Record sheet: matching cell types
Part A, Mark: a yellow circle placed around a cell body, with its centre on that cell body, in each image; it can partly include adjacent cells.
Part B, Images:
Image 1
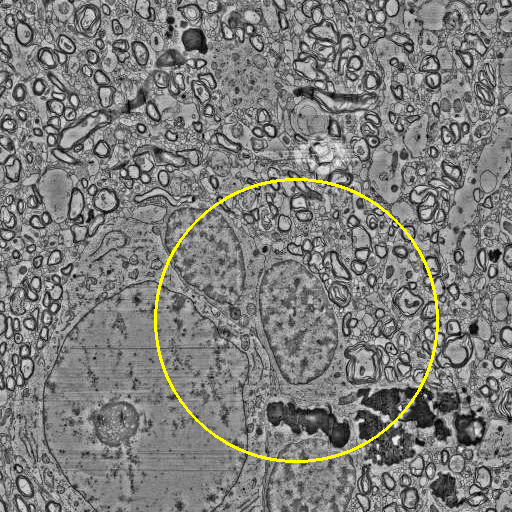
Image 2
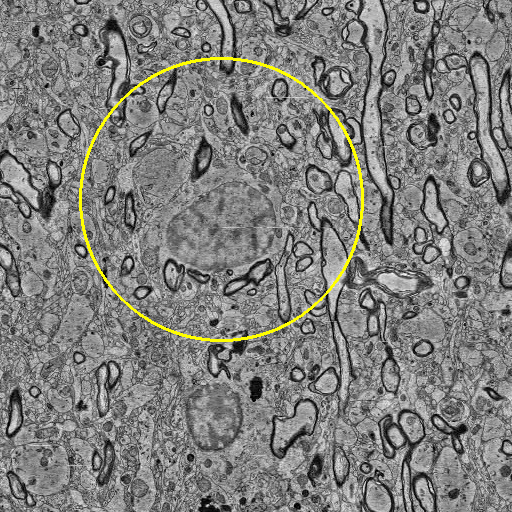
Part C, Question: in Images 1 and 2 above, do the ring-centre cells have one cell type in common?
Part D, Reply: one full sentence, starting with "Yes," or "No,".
Yes, the ring-centre cells of Image 1 and Image 2 are both of a single cell type.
